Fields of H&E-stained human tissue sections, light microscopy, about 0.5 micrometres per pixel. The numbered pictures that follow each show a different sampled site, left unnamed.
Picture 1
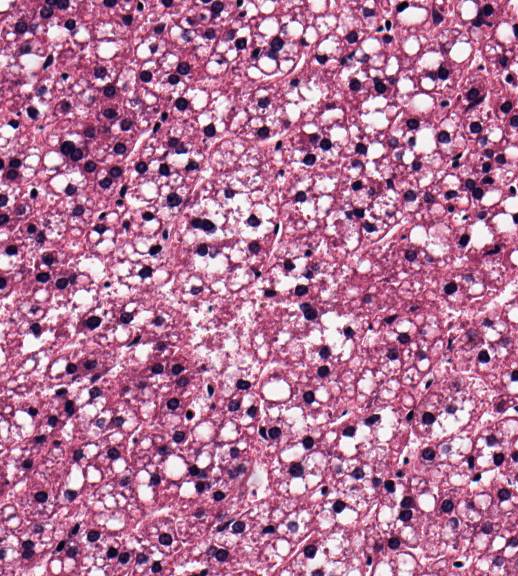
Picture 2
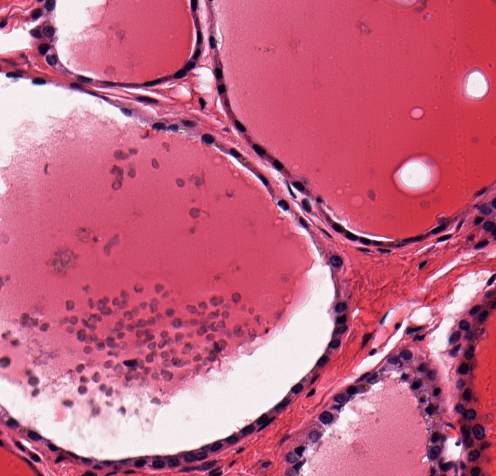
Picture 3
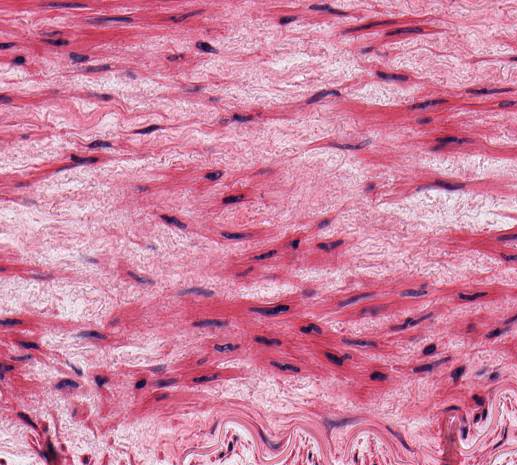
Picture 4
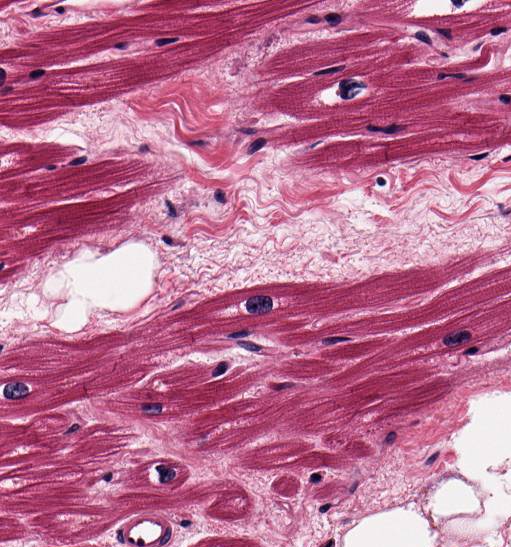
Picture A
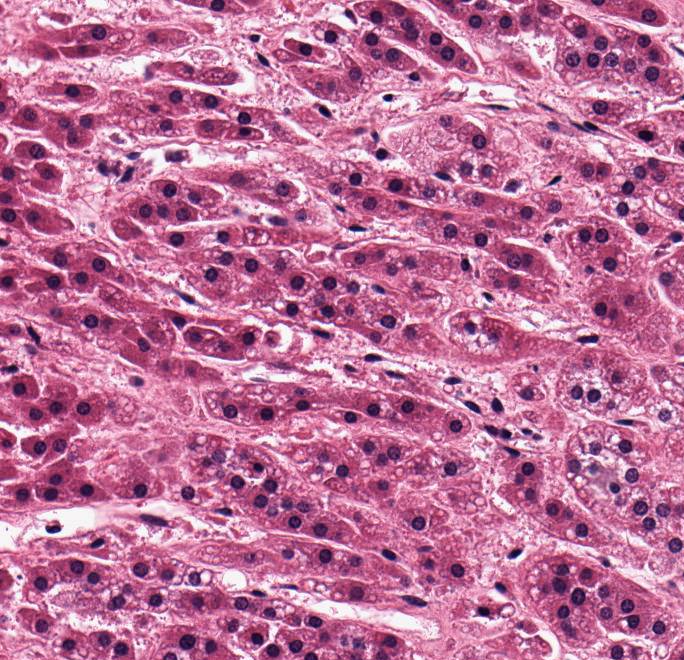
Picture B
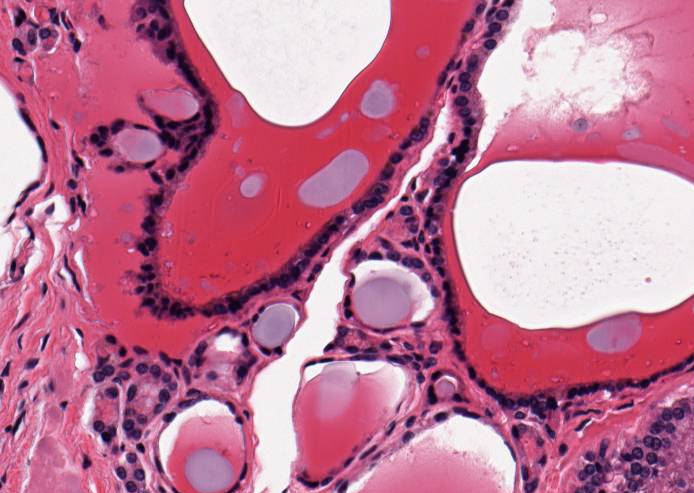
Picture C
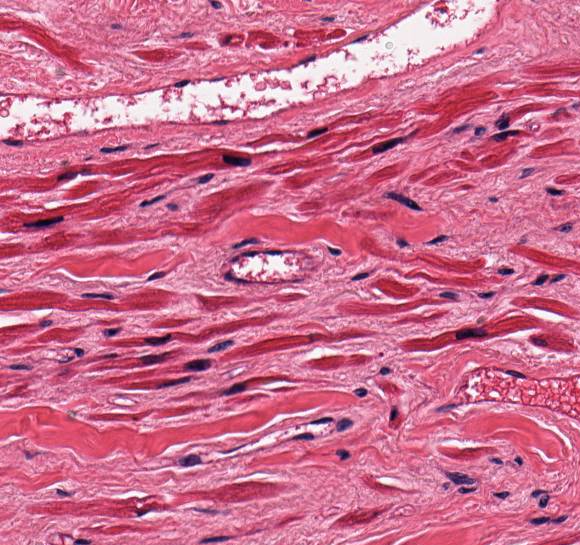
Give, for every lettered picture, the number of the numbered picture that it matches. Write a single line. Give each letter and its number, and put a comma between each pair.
A 1, B 2, C 4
